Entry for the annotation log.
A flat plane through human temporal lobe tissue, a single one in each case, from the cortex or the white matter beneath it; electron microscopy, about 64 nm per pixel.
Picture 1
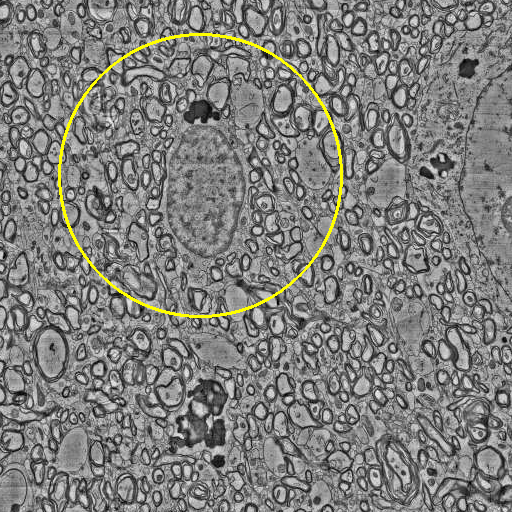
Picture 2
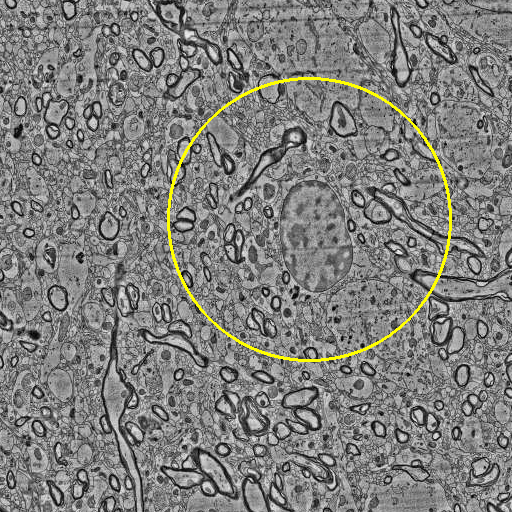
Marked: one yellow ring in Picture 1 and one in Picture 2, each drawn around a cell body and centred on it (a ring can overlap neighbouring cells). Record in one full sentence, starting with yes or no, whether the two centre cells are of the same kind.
No, the two cells are of two kinds.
